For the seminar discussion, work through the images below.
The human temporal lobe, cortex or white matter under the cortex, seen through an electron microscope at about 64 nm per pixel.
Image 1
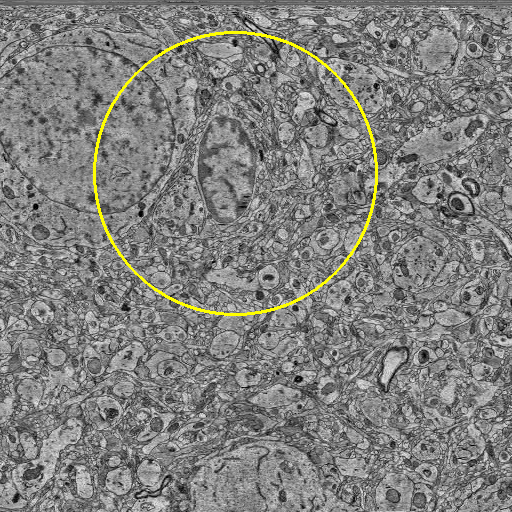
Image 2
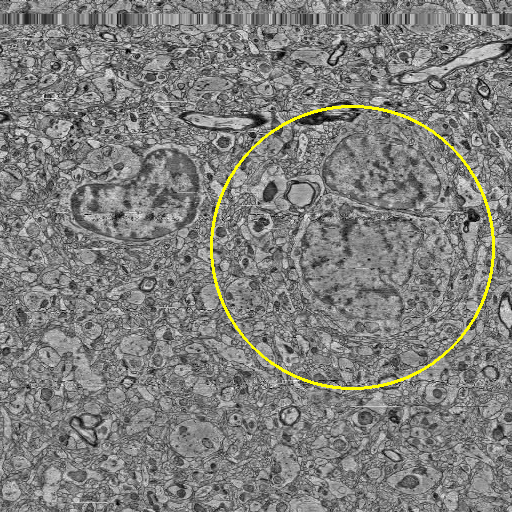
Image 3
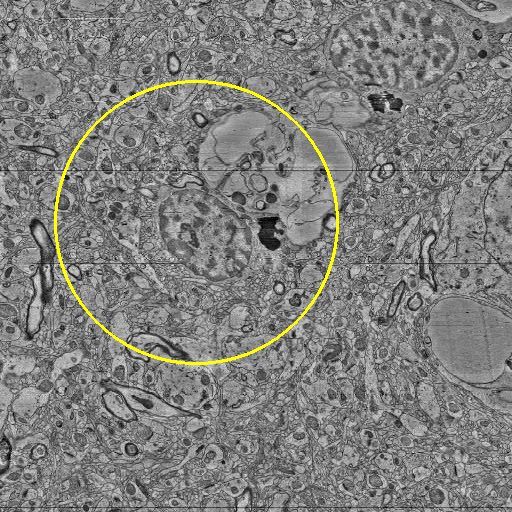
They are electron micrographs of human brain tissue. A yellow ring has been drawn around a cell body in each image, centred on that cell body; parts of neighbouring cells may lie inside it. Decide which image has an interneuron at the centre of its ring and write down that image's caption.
Image 2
